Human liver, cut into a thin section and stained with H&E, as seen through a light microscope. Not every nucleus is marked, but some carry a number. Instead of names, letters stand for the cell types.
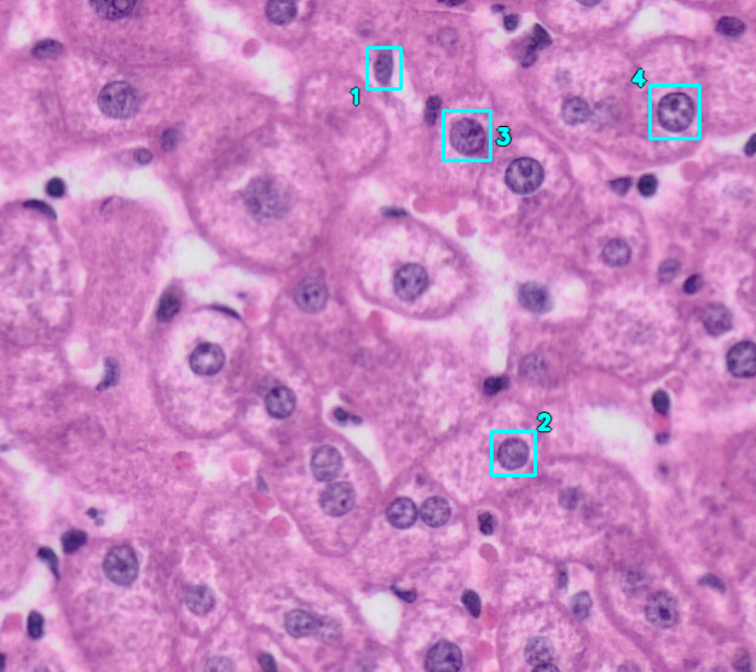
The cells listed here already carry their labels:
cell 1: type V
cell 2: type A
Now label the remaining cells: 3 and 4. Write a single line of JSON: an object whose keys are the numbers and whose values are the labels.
{"3": "type A", "4": "type A"}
